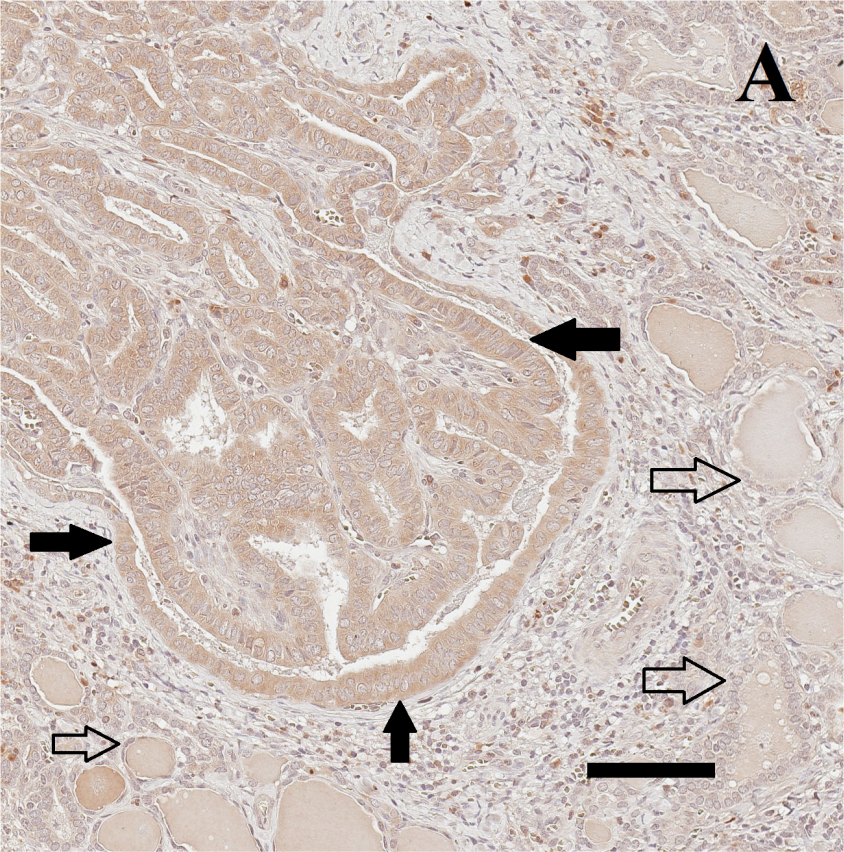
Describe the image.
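This is thyroid tissue in which a tumour of neoplastic thyroid epithelial cells sits beside normal thyroid follicles. The tumour forms branching papillae and elongated glandular spaces lined by tall columnar cells with crowded, pale, oval nuclei and cytoplasm stained a fairly even light brown. Around it runs a band of connective tissue with scattered stromal and inflammatory cells, some of which carry darker brown dots. To the right and below lie normal follicles filled with pale pink-beige colloid, lined by flat to cuboidal cells that stain much more weakly than the tumour cells.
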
